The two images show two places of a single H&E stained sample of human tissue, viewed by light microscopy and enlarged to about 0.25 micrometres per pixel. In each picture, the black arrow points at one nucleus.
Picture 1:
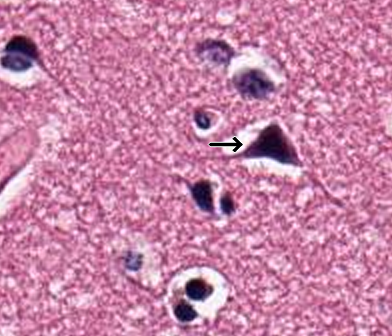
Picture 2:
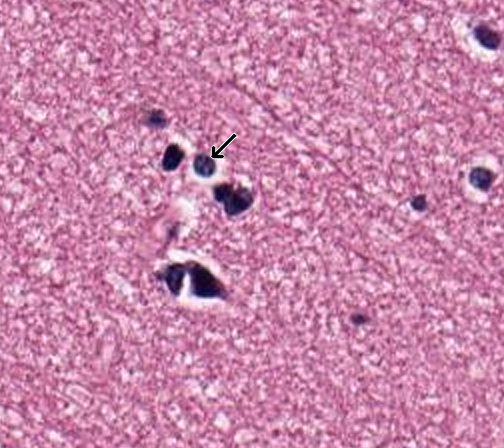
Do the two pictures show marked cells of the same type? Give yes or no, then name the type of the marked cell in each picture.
No, the first is a neuron and the second an oligodendrocyte.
